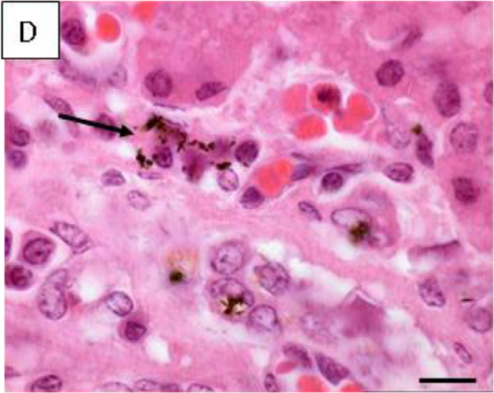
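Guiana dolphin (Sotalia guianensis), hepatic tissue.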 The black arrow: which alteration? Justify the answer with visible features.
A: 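The arrow points to a row of fine brown-black granules. Other small brown dots are scattered in nearby cells. The answer: Deposits distributed in small dots.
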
